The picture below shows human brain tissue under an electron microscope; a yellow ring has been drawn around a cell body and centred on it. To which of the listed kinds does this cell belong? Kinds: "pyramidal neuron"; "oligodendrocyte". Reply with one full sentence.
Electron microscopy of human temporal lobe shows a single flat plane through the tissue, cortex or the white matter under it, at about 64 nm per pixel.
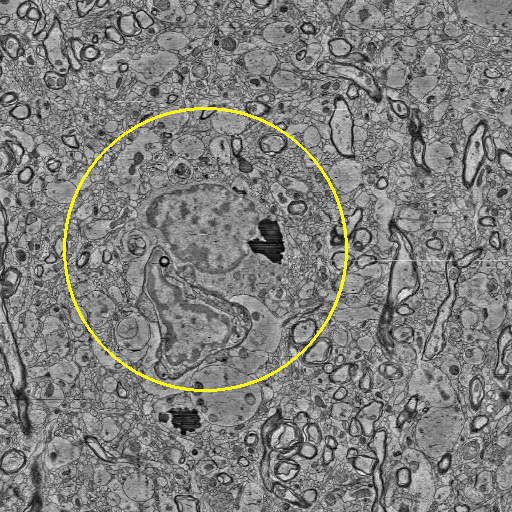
It is an oligodendrocyte that the yellow ring in the picture is centred on.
